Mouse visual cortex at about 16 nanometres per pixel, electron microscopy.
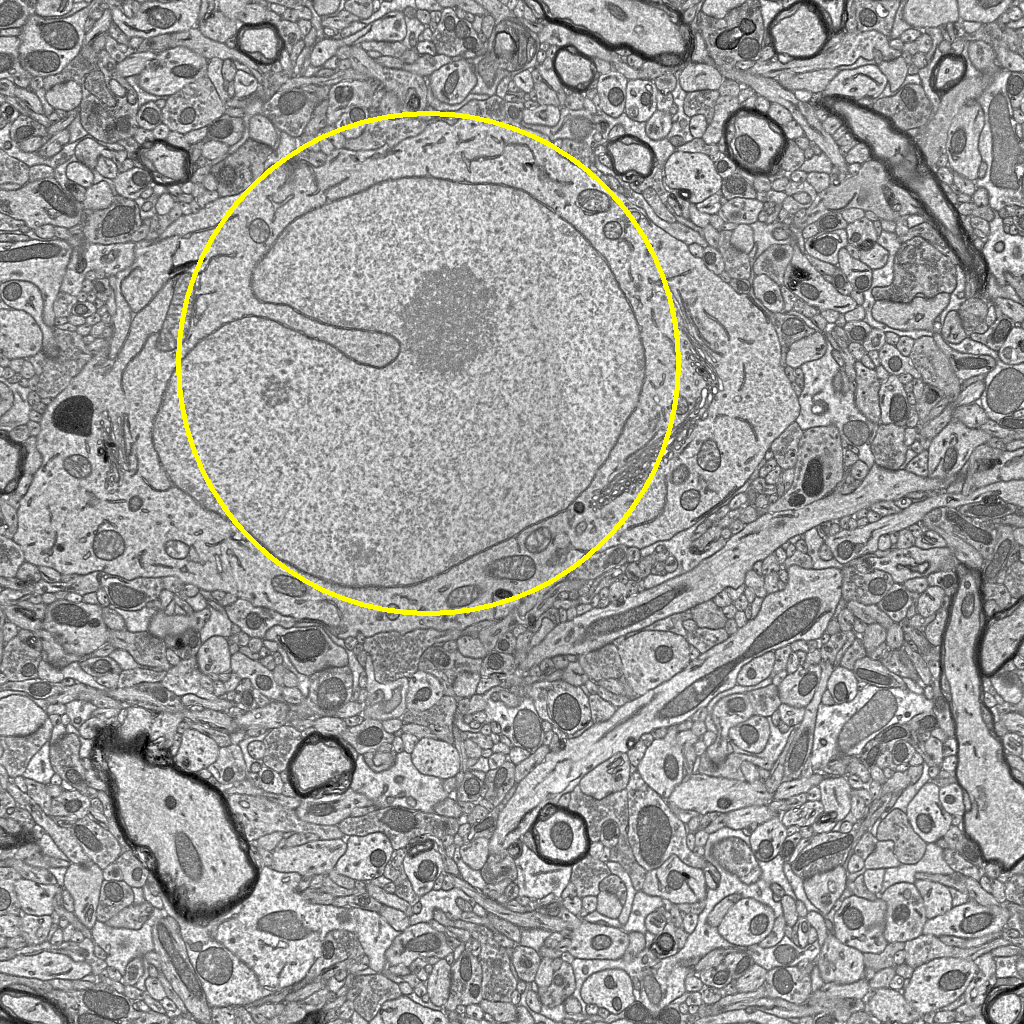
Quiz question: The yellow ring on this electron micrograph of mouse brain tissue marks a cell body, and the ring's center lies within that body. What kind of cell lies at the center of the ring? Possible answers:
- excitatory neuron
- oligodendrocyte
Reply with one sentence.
The ring's center lies on an excitatory neuron.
